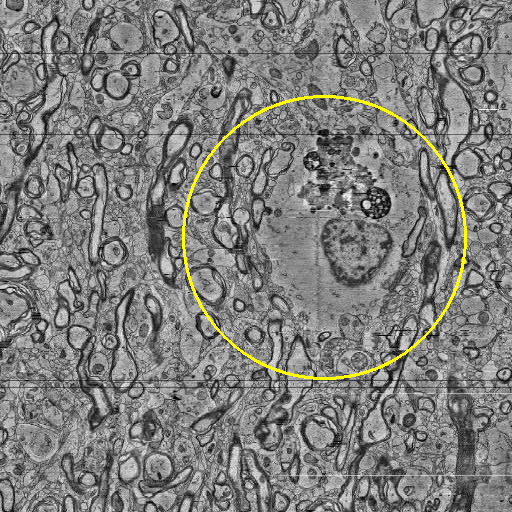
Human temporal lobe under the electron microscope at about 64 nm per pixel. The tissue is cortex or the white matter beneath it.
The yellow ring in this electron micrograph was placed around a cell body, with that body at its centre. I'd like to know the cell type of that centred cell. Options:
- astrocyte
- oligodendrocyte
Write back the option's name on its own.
astrocyte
